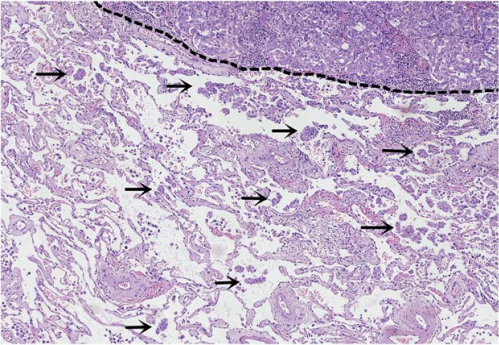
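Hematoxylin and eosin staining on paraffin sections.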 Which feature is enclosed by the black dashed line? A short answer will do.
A: Main tumor.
